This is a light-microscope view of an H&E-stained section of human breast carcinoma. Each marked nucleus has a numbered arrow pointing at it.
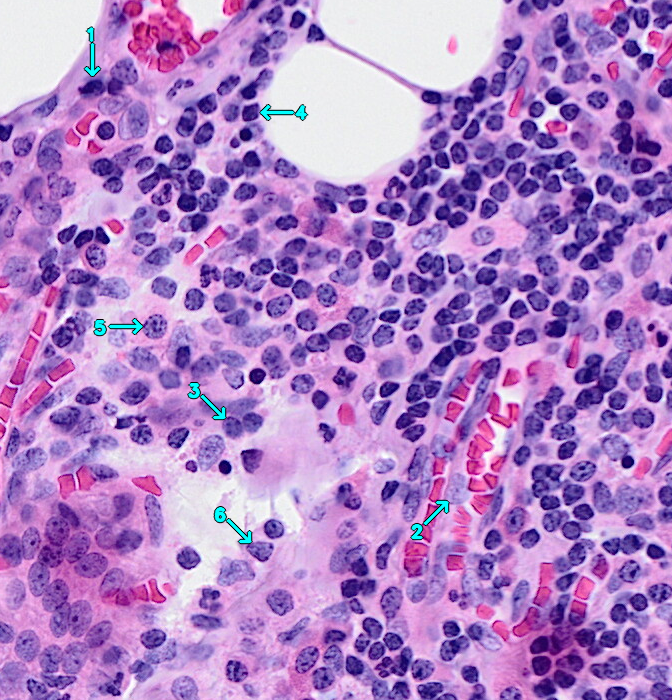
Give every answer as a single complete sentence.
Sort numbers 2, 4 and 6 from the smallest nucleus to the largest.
The order from the smallest nucleus to the largest is 4, 6, 2.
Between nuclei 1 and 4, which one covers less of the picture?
It is nucleus 4; nucleus 1 has about 1.5 times its area.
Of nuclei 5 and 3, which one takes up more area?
The larger nucleus is 5, at roughly 2 times the area of 3.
